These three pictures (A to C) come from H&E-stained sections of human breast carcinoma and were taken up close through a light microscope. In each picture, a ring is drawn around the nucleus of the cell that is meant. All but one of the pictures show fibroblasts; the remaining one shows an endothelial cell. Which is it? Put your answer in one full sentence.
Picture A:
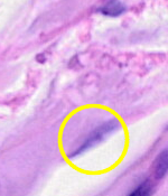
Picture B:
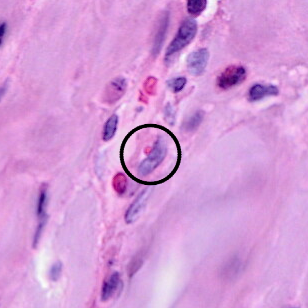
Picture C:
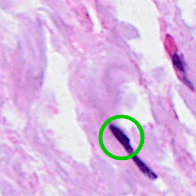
Picture B is the one that shows the endothelial cell.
